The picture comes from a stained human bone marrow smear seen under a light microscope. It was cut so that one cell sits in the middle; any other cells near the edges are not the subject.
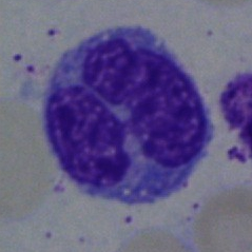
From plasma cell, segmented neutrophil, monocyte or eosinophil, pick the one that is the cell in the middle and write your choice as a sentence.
Whatever else lies nearby, the middle cell is a monocyte.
